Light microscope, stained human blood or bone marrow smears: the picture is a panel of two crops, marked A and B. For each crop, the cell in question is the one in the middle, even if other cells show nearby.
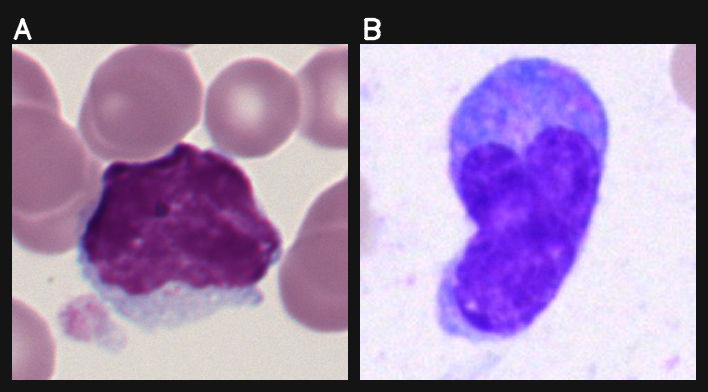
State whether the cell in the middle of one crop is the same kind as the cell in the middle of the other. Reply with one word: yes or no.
no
